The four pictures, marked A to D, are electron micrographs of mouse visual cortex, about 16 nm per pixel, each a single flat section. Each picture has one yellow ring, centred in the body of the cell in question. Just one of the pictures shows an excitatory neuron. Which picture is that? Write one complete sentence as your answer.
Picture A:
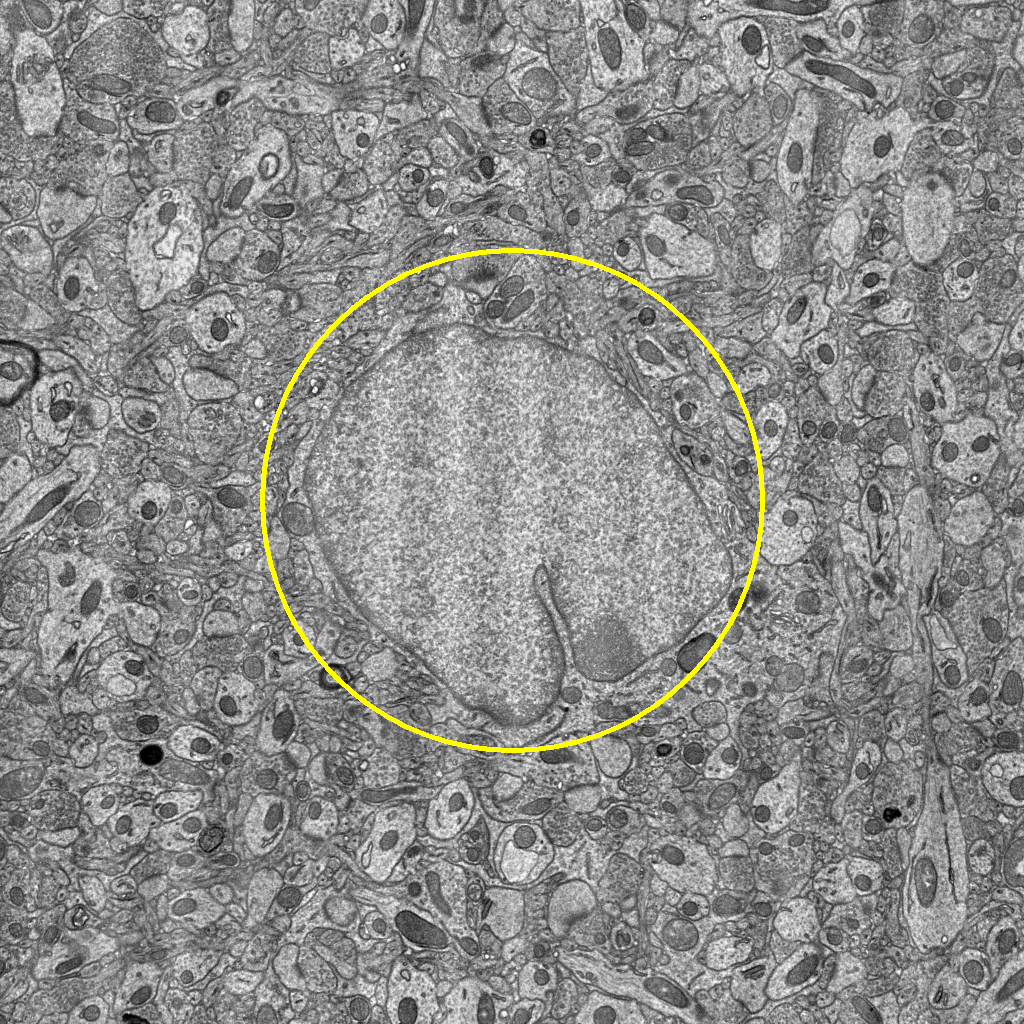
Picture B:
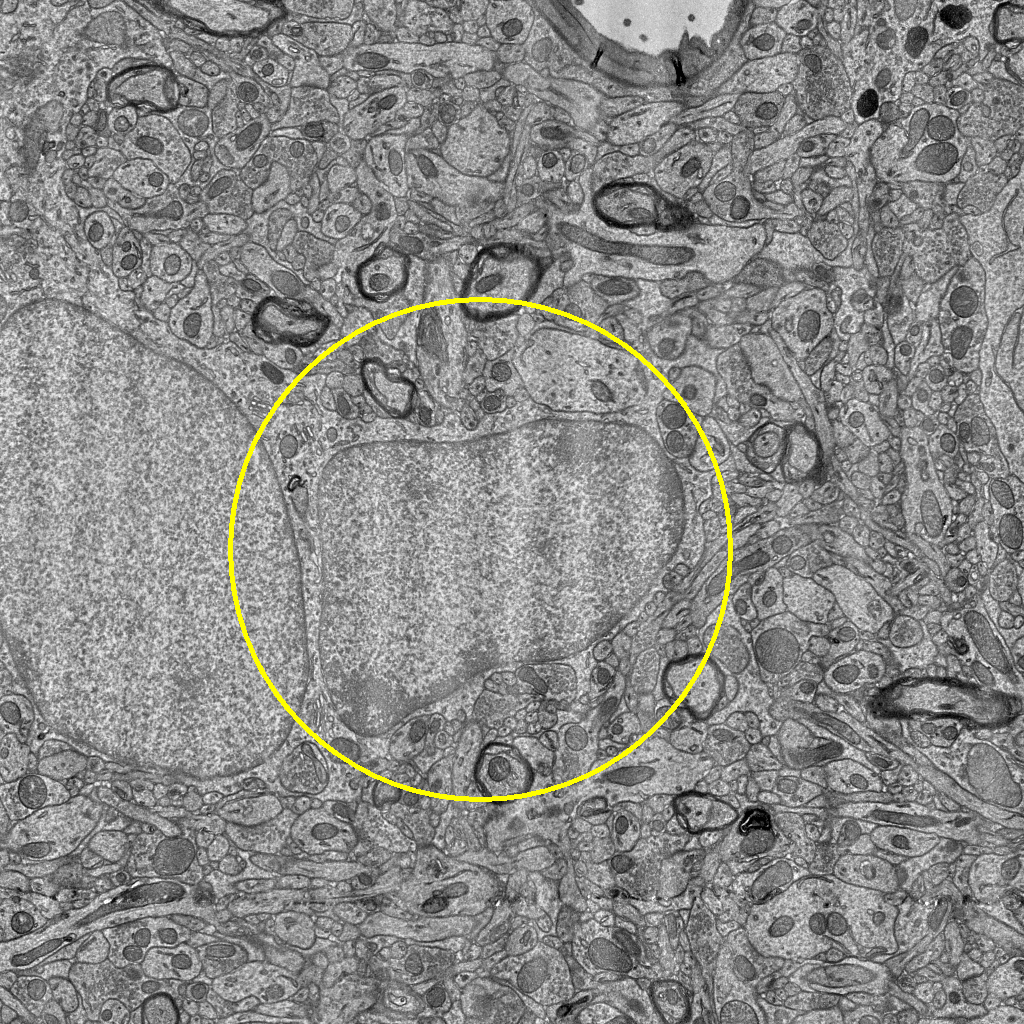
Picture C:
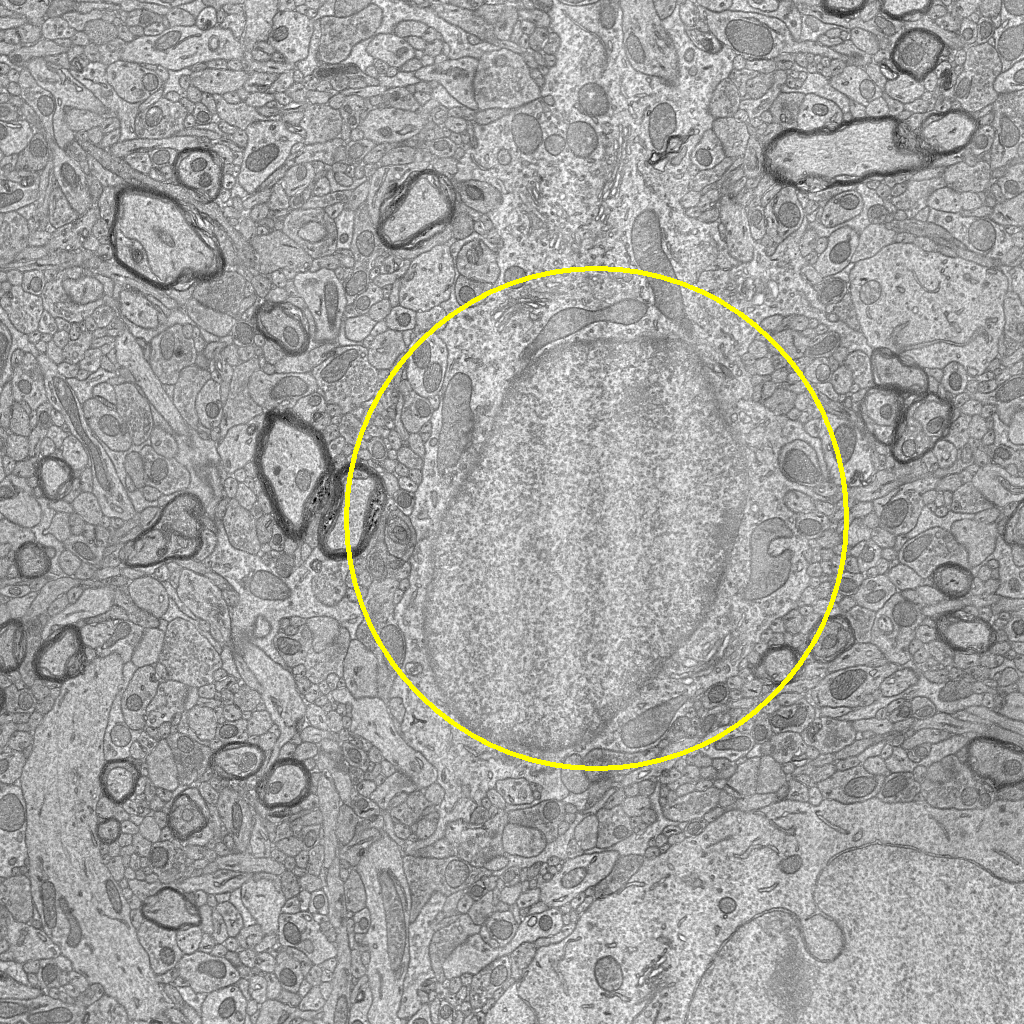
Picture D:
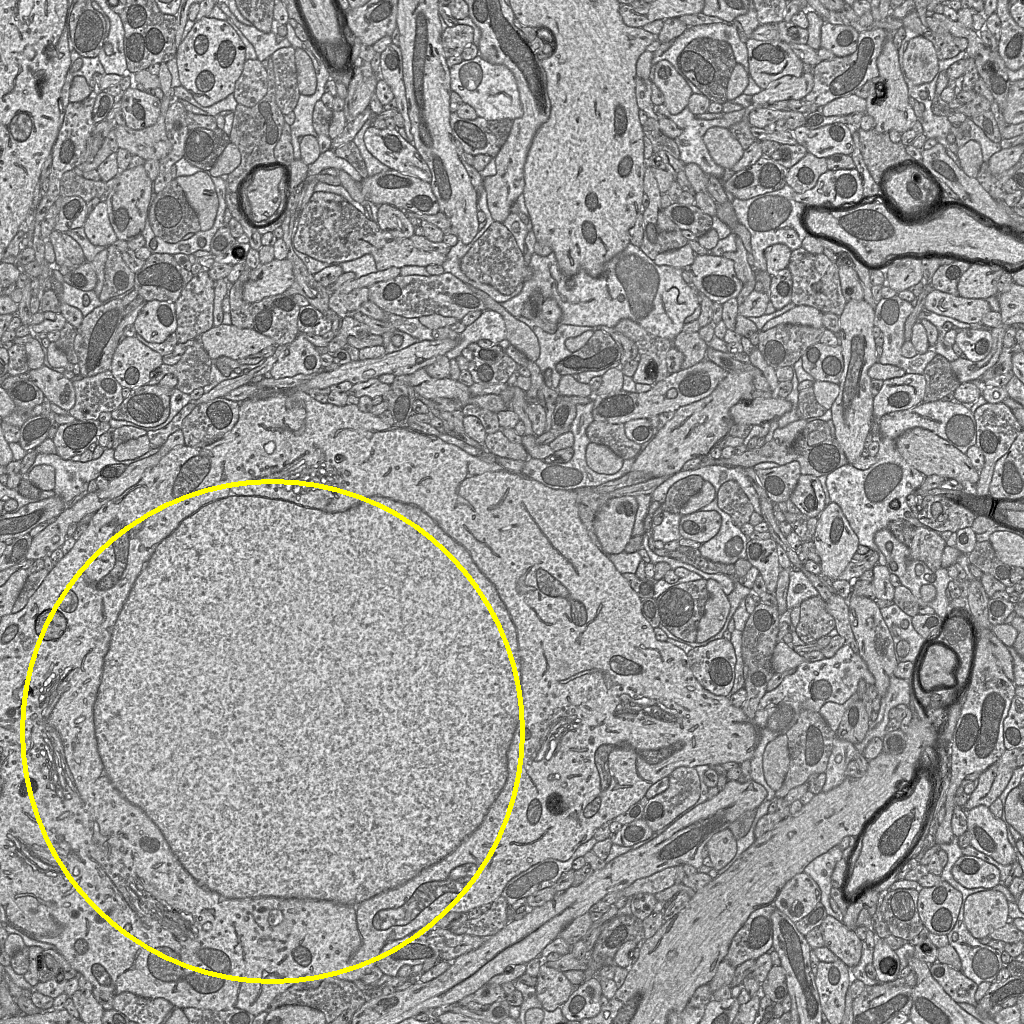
Picture D is the one that shows the excitatory neuron.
